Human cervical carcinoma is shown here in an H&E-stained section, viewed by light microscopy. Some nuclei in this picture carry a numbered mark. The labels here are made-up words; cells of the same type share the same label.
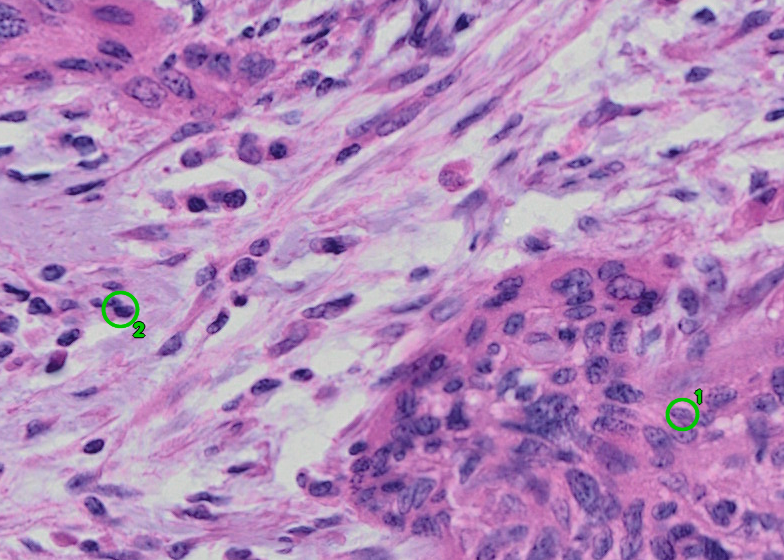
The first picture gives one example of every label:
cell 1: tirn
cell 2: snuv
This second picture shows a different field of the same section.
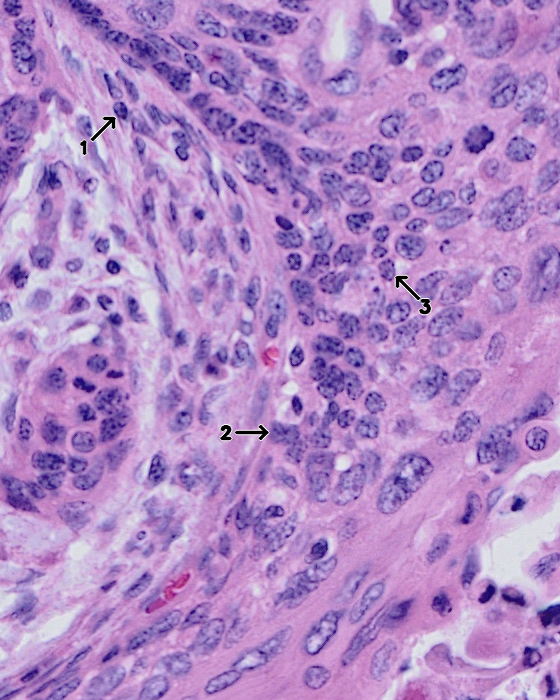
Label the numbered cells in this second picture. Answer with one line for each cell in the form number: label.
1: snuv
2: tirn
3: tirn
